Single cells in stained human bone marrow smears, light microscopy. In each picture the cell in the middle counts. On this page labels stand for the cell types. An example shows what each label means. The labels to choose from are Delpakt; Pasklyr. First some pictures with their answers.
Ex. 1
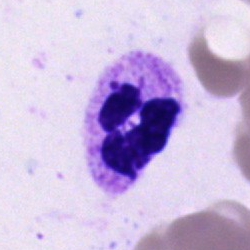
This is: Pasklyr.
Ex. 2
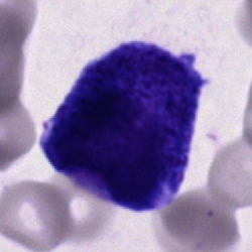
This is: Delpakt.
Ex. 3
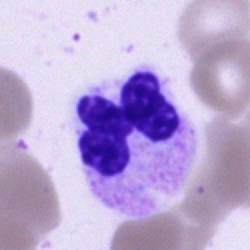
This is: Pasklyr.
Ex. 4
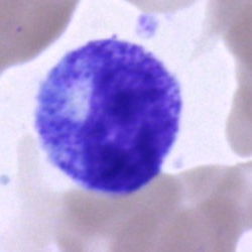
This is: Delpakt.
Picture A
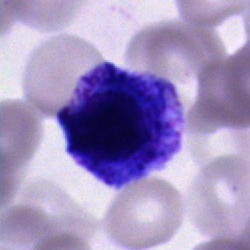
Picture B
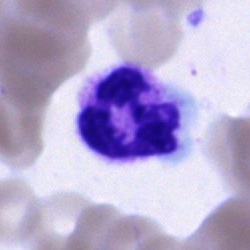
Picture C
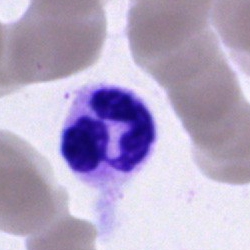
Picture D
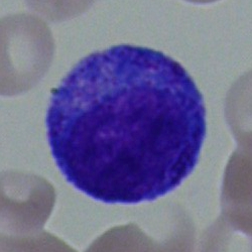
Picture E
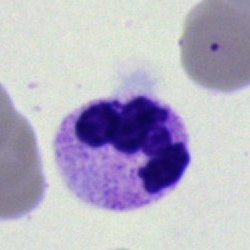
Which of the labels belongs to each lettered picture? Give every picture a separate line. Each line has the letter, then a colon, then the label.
A: Delpakt.
B: Pasklyr.
C: Pasklyr.
D: Delpakt.
E: Pasklyr.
